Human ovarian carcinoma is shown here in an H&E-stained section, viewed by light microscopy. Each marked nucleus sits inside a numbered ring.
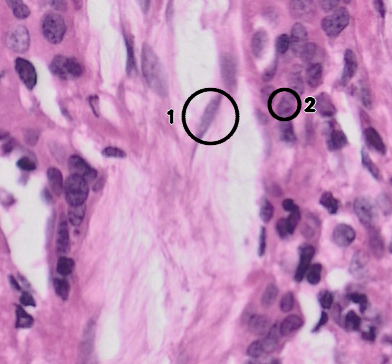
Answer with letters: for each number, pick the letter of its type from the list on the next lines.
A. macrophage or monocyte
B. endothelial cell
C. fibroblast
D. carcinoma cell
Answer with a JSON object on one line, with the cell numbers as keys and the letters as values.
{"1": "C", "2": "D"}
